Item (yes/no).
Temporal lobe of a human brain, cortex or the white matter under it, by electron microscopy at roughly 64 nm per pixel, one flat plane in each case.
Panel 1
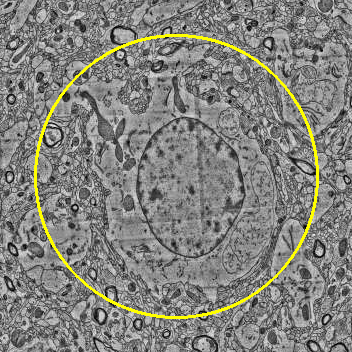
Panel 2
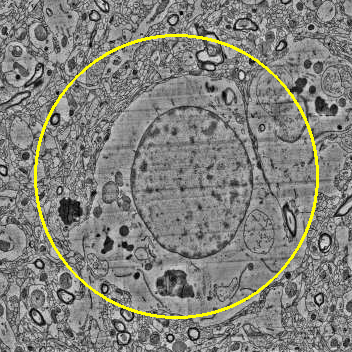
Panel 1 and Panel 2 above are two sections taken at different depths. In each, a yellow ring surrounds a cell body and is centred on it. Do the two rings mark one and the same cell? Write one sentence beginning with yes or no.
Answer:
Yes, the two rings belong to one cell, not to two.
